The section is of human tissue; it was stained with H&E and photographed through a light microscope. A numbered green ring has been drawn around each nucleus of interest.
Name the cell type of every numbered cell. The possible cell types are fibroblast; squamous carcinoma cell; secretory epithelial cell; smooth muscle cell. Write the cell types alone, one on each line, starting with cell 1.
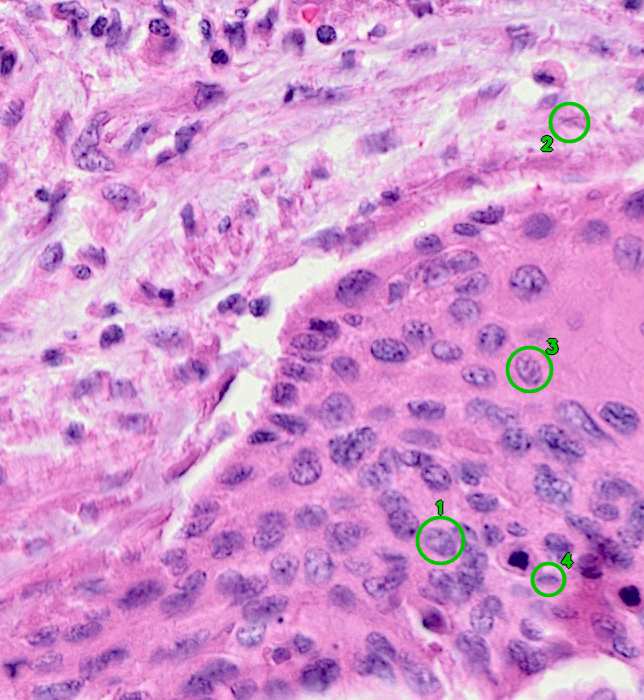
squamous carcinoma cell
fibroblast
squamous carcinoma cell
squamous carcinoma cell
